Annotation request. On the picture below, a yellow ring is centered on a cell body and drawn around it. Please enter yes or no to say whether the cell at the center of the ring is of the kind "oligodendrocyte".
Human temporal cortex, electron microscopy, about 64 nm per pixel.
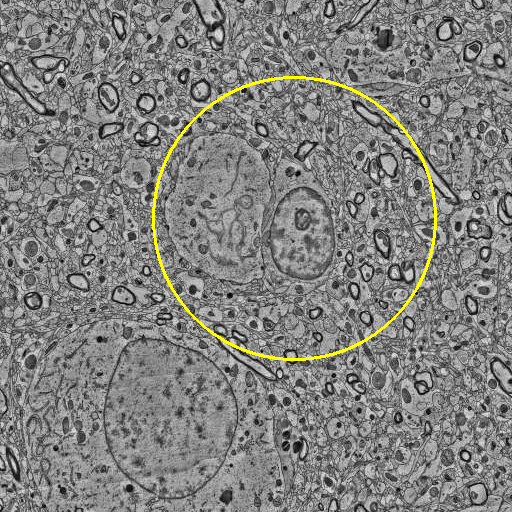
yes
